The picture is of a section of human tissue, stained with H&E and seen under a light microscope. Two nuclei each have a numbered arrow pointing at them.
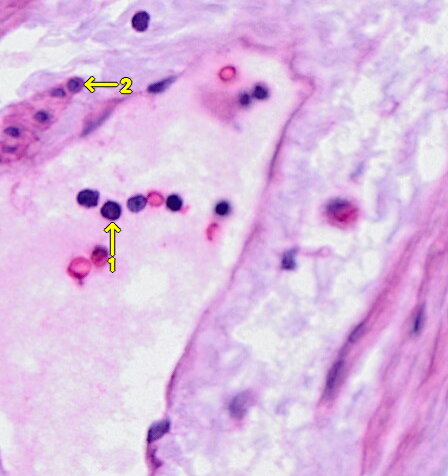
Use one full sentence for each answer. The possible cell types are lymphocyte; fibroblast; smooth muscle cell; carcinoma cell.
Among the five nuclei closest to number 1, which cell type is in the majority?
Around number 1, most of the five nearest nuclei are those of lymphocytes.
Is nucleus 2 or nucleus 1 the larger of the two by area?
Nucleus 1 is larger, with an area about 2.5 times that of nucleus 2.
